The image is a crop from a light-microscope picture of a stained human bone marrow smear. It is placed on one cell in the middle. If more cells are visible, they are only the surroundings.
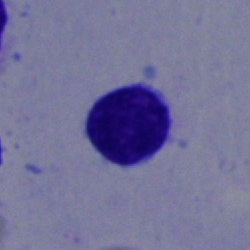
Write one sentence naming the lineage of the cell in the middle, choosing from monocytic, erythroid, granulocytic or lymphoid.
The central cell's lineage is lymphoid.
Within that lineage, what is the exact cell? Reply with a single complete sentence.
By type, the central cell of the crop is a lymphocyte.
